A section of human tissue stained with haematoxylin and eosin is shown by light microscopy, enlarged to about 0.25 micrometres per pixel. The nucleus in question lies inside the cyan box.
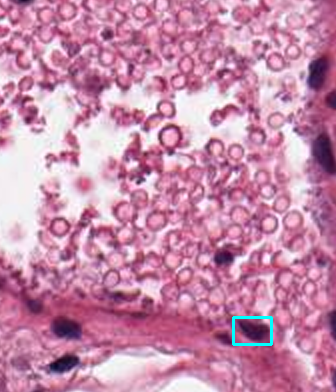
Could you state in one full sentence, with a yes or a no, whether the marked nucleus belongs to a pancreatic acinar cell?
No, the marked nucleus is held by a supporting cell and not by a pancreatic acinar cell.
